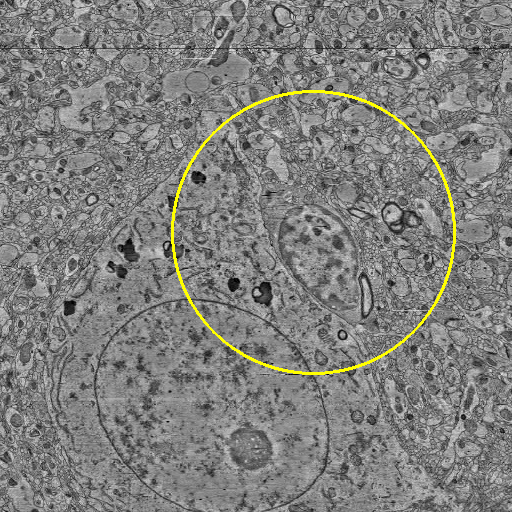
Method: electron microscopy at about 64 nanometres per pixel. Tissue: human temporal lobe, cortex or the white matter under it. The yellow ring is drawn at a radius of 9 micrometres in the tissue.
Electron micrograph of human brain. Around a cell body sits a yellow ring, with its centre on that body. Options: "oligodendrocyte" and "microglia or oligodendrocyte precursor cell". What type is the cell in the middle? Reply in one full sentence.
The cell sitting at the centre of the yellow ring is an oligodendrocyte.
